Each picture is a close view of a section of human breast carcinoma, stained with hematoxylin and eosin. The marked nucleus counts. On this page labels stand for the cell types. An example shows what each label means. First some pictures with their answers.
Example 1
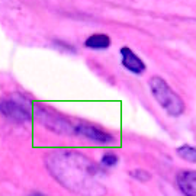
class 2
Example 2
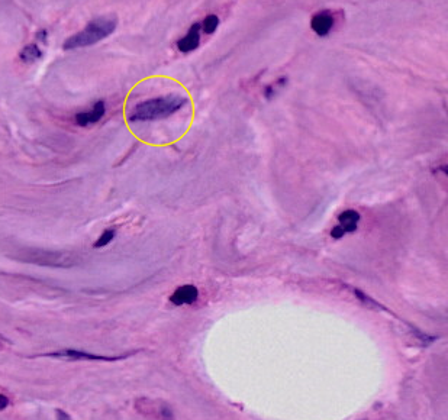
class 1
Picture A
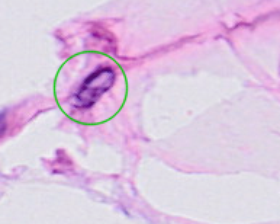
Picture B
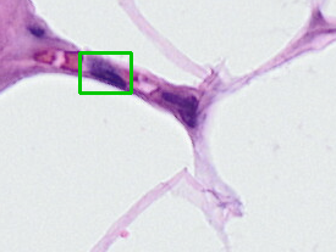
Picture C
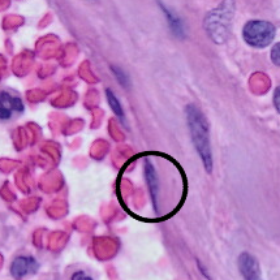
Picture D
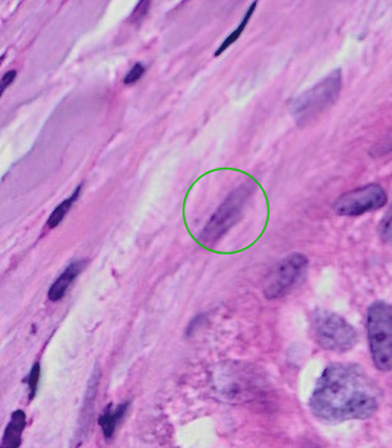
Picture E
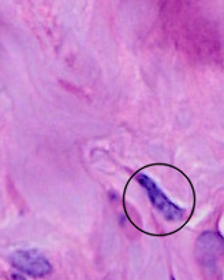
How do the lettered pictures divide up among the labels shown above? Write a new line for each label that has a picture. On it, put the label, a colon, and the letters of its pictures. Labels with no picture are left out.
class 2: B, C
class 1: A, D, E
